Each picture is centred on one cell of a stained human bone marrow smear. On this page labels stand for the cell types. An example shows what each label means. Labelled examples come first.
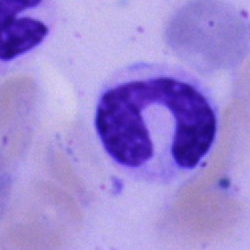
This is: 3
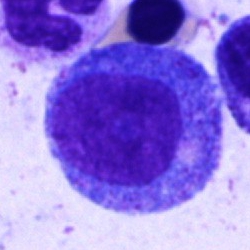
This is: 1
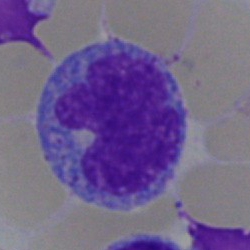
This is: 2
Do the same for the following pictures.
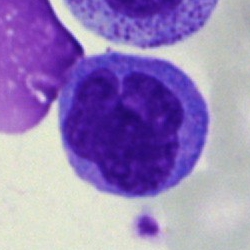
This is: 2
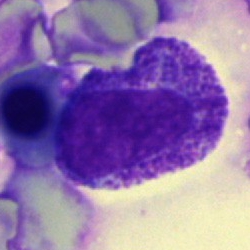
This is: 1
